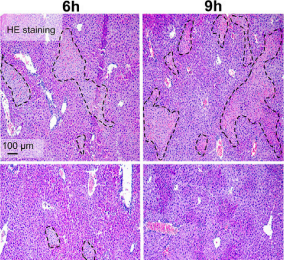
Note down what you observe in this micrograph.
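These are sections of liver. The sections show sheets of hepatocytes with pink cytoplasm and purple nuclei, interrupted by vascular spaces, some of which contain red blood cells. Scattered through the parenchyma are irregular areas, outlined with dashed lines, where the tissue stains a paler, more uniform pink and fewer intact nuclei can be made out, consistent with necrosis. These necrotic areas are large and numerous in the upper sections and small and few in the lower ones.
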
